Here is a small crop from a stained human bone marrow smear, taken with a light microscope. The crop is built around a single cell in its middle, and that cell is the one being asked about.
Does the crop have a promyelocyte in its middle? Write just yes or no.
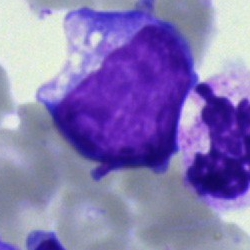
no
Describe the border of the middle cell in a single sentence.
Irregularity marks the cell border, whether as raggedness or as projections.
